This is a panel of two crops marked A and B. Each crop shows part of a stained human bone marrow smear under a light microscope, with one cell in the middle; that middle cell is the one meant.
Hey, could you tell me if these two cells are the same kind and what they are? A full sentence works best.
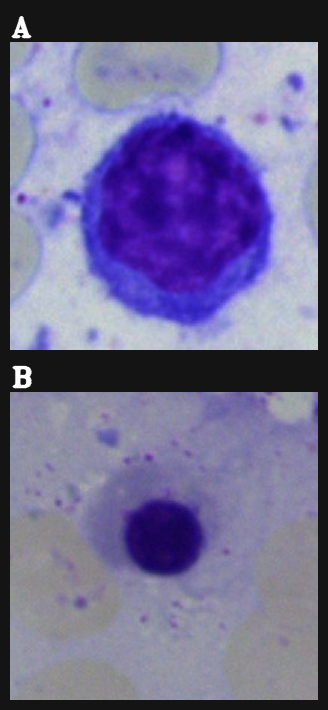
No, shown in crop A is a lymphocyte, and shown in crop B is a normoblast.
